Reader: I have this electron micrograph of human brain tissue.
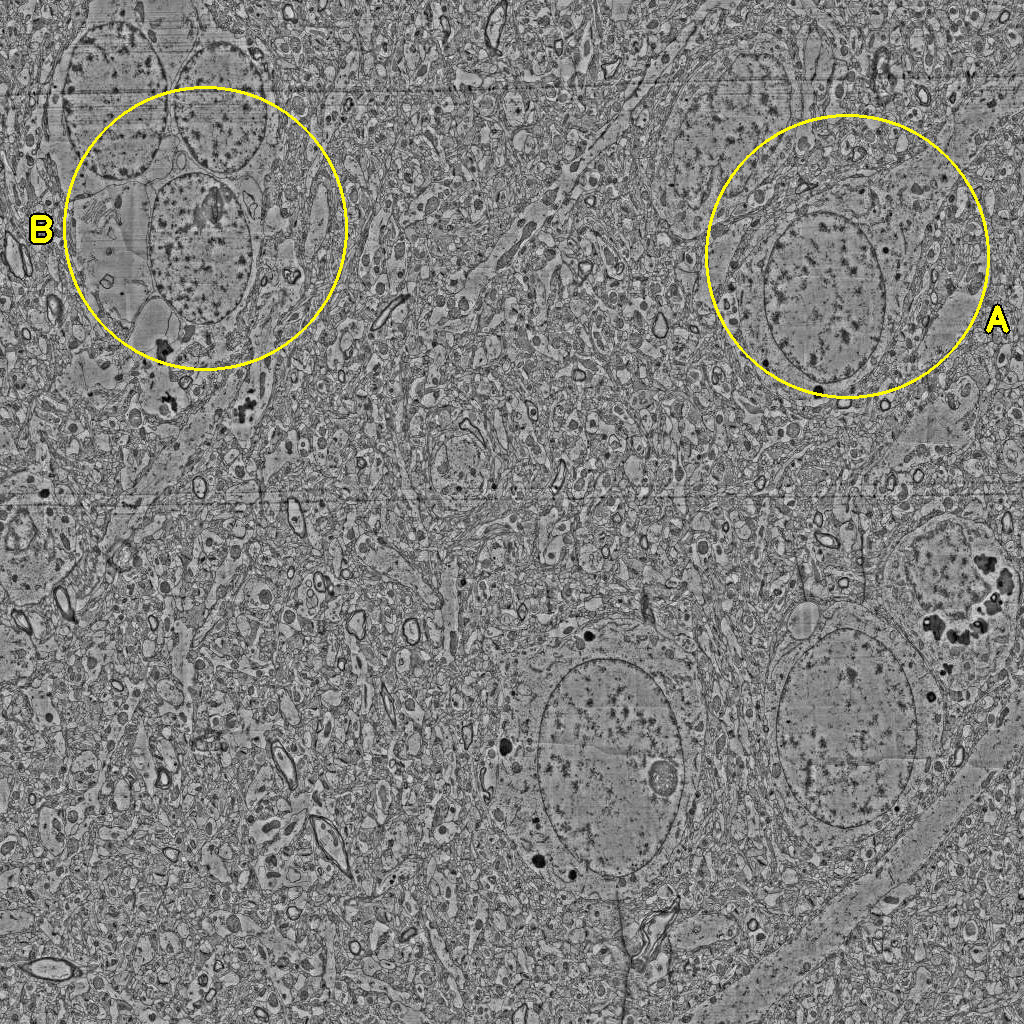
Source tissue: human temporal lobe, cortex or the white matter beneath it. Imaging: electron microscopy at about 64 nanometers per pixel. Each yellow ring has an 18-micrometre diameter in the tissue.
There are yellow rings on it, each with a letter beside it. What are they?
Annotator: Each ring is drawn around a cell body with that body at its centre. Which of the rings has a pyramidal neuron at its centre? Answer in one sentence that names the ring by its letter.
That cell sits at the centre of ring A.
